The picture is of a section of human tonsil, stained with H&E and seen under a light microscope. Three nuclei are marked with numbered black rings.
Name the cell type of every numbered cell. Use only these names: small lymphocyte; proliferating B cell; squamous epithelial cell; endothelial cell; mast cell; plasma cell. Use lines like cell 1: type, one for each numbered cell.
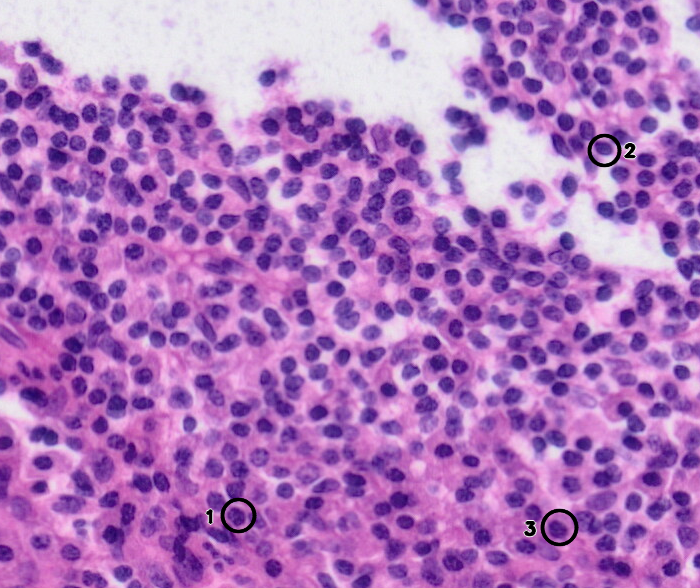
cell 1: plasma cell
cell 2: small lymphocyte
cell 3: plasma cell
